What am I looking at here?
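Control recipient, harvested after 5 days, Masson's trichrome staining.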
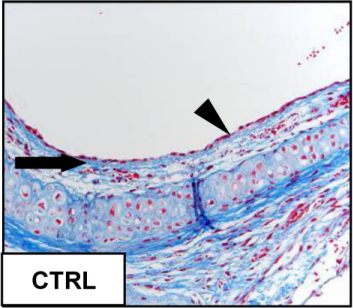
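This is a section through a tracheal wall whose lumen is lined only by a thin layer of flattened epithelial cells with elongated nuclei. Beneath this lining lies a band of blue-stained connective tissue. Deeper down is a plate of hyaline cartilage, its pale blue matrix holding rounded chondrocytes with red-staining nuclei in lacunae. Blue fibrous tissue with scattered spindle-shaped cells surrounds the cartilage below. The tall layered epithelium of a normal airway is missing here.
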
